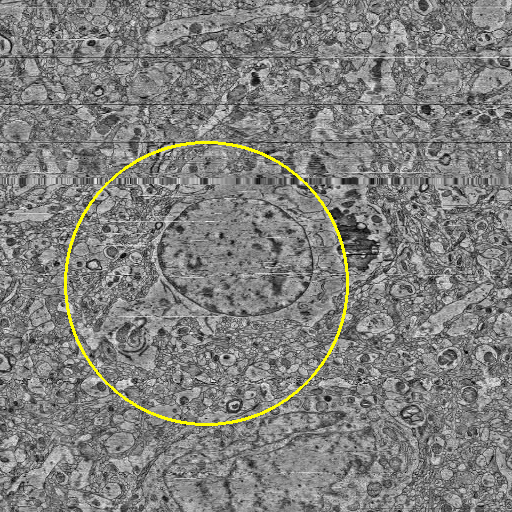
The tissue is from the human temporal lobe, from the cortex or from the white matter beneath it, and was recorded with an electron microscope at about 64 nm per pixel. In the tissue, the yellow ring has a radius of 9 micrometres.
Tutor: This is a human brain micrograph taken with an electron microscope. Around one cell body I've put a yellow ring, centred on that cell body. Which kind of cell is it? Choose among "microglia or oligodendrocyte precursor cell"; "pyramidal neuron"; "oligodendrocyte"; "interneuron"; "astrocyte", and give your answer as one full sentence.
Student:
Going by your list, the cell centred in the yellow ring is an astrocyte.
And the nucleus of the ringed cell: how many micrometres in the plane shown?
About 10 by 8 micrometers, in this plane.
